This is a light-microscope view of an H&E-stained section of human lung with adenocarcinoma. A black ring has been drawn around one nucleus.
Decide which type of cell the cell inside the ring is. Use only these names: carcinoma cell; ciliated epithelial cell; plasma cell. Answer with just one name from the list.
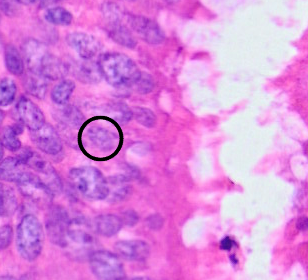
ciliated epithelial cell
